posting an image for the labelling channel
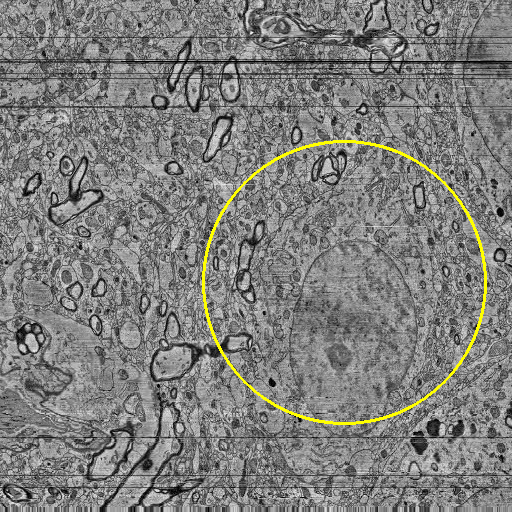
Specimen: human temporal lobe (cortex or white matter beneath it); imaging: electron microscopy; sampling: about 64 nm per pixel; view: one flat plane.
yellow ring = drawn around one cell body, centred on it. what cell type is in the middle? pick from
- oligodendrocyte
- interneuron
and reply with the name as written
interneuron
